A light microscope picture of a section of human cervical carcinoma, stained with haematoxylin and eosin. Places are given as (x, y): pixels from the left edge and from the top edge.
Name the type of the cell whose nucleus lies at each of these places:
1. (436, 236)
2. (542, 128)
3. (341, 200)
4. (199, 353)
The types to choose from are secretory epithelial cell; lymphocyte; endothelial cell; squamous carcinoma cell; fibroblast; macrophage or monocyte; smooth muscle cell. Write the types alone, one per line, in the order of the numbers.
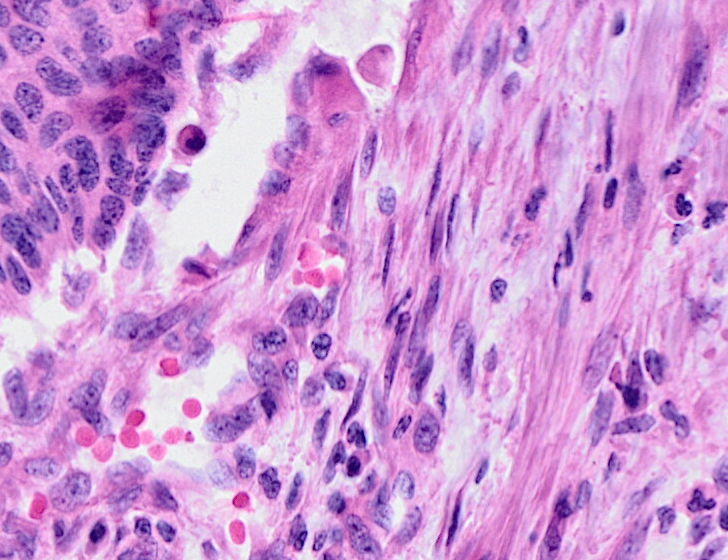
fibroblast
fibroblast
fibroblast
endothelial cell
